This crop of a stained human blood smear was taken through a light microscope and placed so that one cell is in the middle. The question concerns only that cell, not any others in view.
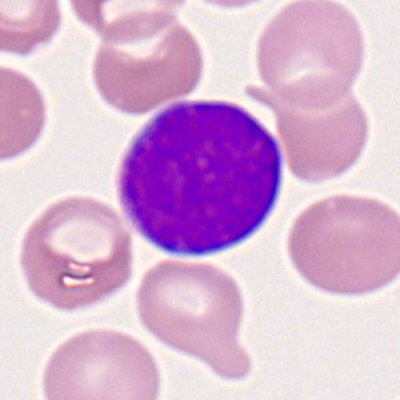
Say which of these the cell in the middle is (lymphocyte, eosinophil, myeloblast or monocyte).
myeloblast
